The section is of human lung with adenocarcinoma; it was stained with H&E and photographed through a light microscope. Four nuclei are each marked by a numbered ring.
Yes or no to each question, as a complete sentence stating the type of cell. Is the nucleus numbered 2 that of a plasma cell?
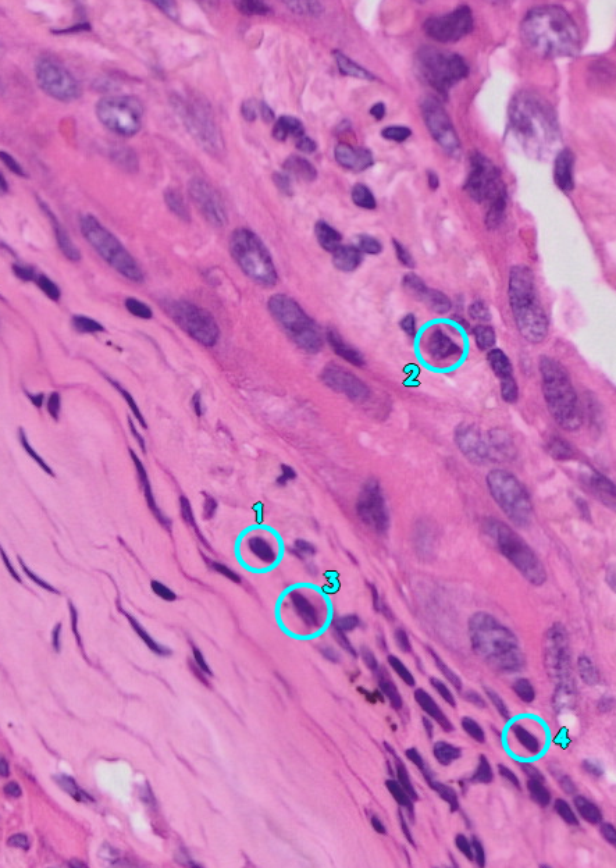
Yes, what number 2 marks is a plasma cell.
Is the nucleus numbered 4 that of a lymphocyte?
Yes. The cell carrying number 4 is a lymphocyte.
